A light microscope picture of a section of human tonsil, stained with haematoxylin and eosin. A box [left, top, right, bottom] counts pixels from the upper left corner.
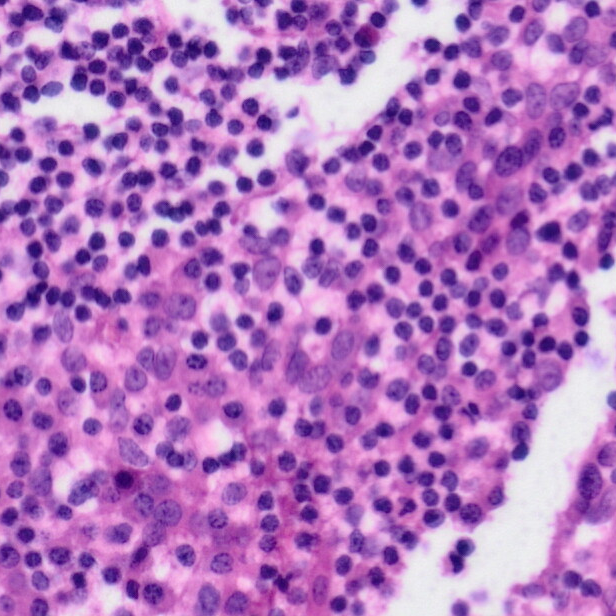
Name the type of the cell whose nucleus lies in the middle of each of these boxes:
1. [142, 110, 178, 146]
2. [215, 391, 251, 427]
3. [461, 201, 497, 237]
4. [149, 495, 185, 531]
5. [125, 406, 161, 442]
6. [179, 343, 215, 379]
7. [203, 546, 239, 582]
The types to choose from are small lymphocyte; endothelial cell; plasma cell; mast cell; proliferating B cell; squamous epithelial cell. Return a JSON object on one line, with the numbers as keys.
{"1": "small lymphocyte", "2": "plasma cell", "3": "squamous epithelial cell", "4": "squamous epithelial cell", "5": "plasma cell", "6": "plasma cell", "7": "plasma cell"}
